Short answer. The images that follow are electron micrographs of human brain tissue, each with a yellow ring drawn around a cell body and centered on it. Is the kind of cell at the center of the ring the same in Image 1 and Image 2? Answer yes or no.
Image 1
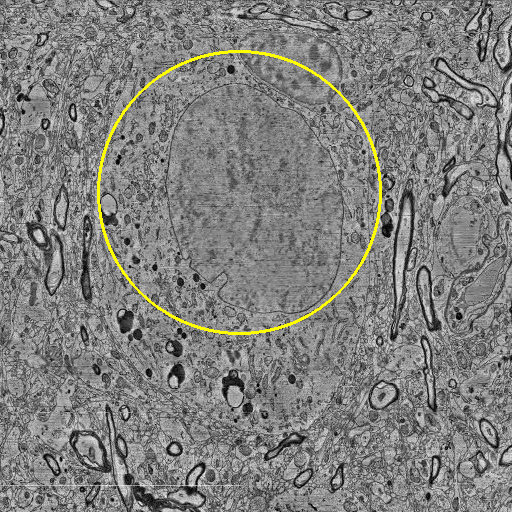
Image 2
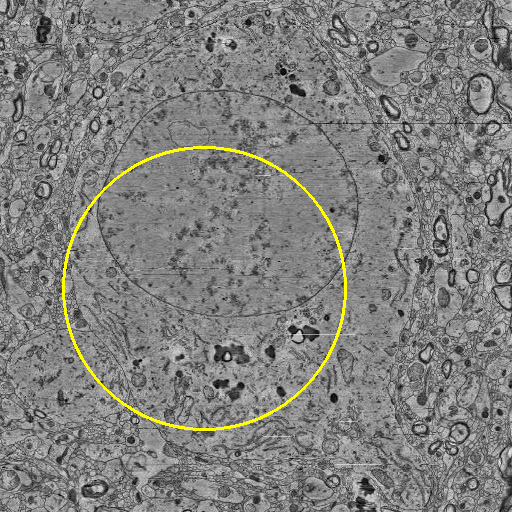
yes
